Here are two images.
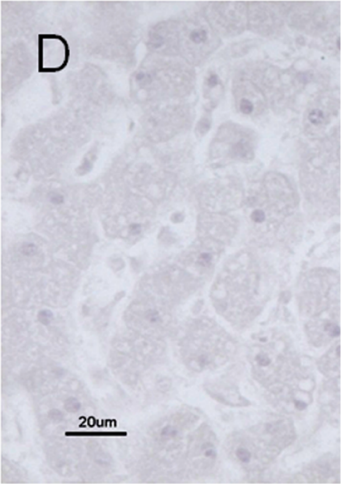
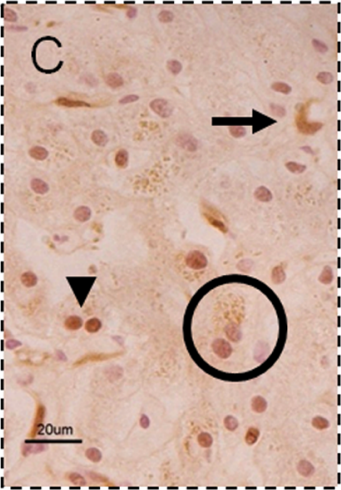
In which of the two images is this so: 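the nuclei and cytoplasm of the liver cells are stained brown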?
The second image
